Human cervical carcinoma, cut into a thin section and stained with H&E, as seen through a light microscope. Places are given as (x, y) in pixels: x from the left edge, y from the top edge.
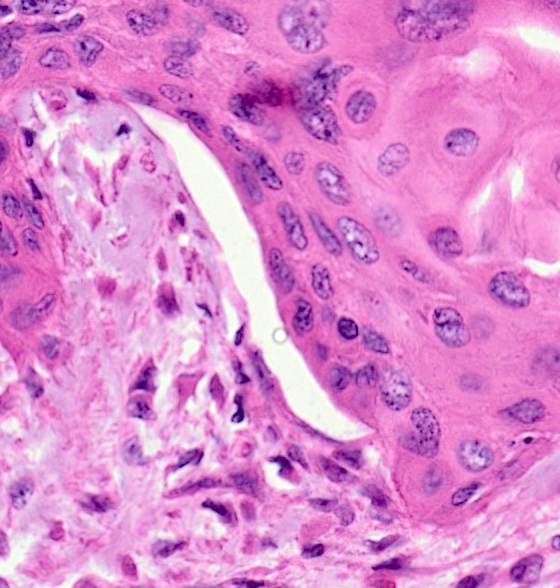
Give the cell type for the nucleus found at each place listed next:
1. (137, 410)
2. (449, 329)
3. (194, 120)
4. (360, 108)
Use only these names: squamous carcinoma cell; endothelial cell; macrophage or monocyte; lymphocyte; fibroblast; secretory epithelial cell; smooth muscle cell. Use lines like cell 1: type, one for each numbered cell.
cell 1: macrophage or monocyte
cell 2: squamous carcinoma cell
cell 3: squamous carcinoma cell
cell 4: squamous carcinoma cell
